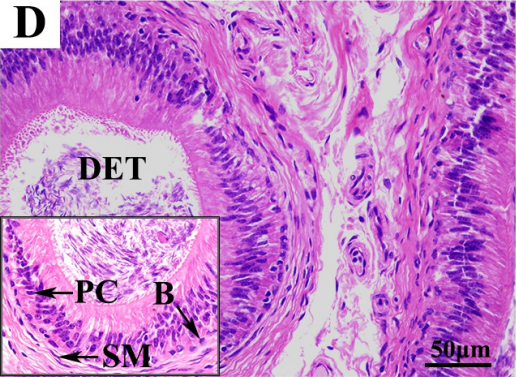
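Epididymal duct lined by a tall pseudostratified columnar epithelium of principal cells with elongated purple nuclei, small rounded basal cells at the base of the epithelium, and a lumen holding a mass of spermatozoa. A thin pink layer of smooth muscle cells surrounds the epithelium, and loose connective tissue with small vessels separates neighbouring ducts.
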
